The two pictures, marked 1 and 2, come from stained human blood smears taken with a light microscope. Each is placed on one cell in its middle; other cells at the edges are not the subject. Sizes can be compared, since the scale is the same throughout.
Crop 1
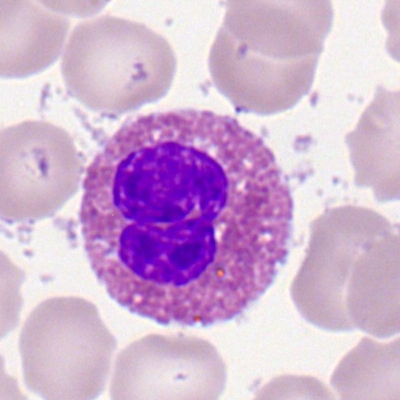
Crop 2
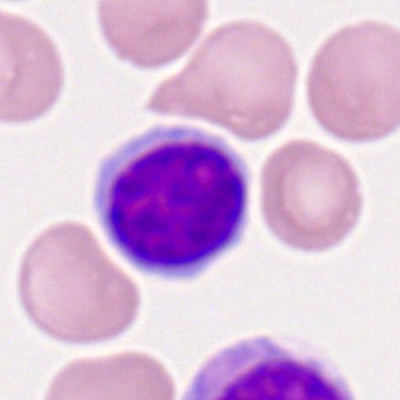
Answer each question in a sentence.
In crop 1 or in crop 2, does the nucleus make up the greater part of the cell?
It is the cell in crop 2 that is filled more by its nucleus.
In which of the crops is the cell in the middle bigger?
Larger is the cell in crop 1, at roughly 2 times the area of the other.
